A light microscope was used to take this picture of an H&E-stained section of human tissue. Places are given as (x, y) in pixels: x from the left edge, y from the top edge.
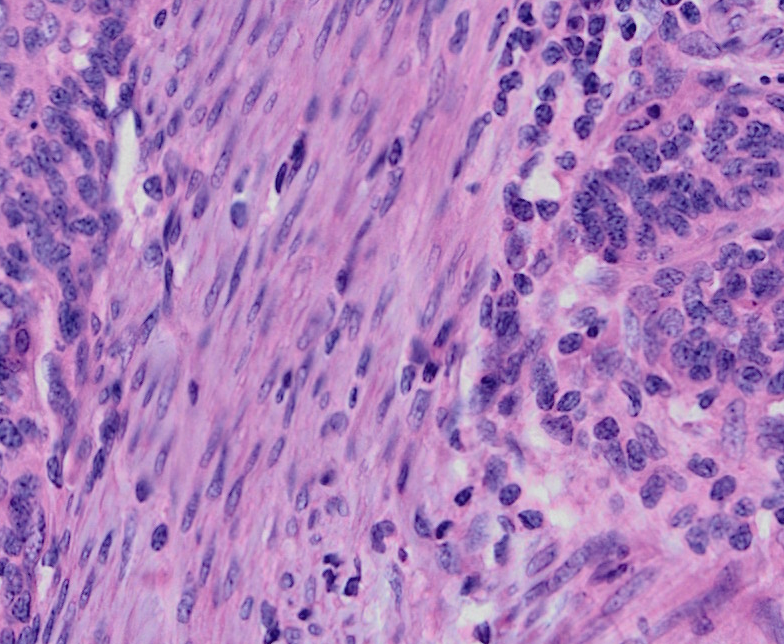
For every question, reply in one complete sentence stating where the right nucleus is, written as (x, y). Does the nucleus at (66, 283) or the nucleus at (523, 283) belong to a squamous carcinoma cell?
The nucleus positioned at (66, 283) forms part of a squamous carcinoma cell.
